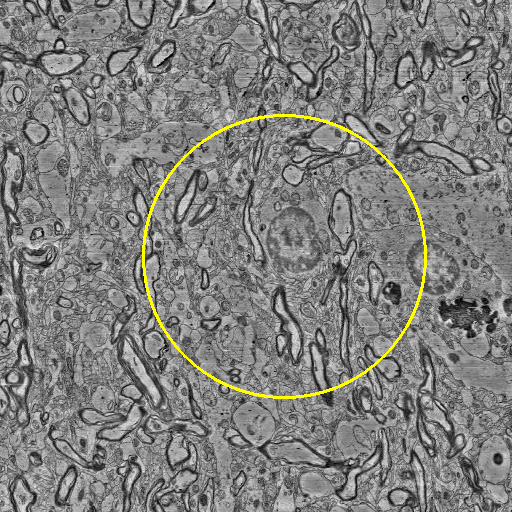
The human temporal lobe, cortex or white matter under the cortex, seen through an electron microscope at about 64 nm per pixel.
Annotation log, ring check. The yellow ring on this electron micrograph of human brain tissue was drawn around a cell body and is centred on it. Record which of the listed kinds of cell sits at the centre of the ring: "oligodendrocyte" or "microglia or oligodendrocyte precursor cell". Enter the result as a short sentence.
The cell at the centre of the ring is an oligodendrocyte.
